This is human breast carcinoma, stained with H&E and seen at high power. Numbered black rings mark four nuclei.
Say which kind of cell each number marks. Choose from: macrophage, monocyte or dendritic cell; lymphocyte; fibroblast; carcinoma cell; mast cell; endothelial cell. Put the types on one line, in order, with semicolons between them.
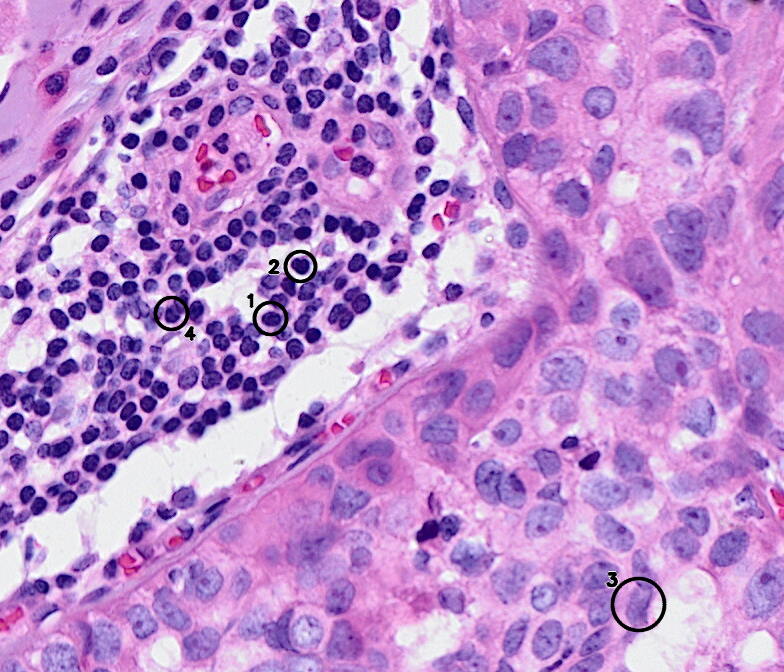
lymphocyte; lymphocyte; carcinoma cell; lymphocyte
